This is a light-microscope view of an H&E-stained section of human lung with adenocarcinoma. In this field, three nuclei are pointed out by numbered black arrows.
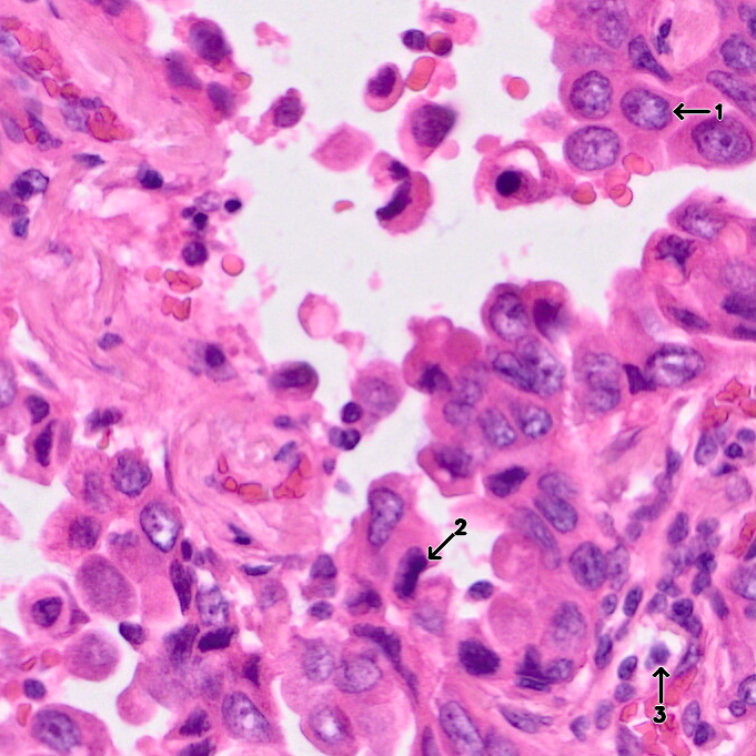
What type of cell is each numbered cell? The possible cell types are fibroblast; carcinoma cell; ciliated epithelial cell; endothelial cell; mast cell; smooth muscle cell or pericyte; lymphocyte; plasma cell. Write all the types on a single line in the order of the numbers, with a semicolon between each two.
carcinoma cell; carcinoma cell; lymphocyte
